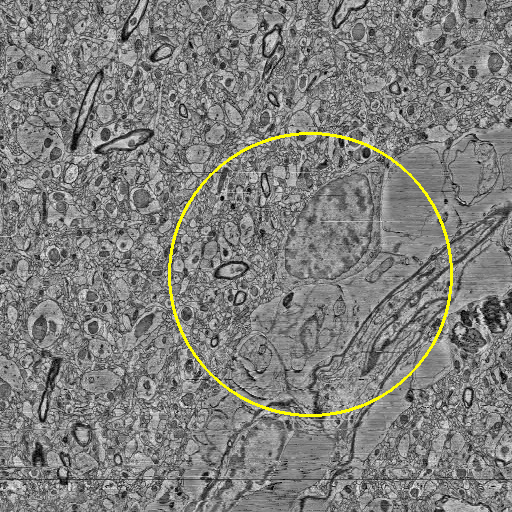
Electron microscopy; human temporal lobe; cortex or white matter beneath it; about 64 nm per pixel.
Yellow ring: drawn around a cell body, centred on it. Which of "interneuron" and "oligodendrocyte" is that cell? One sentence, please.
That cell body is from an oligodendrocyte.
